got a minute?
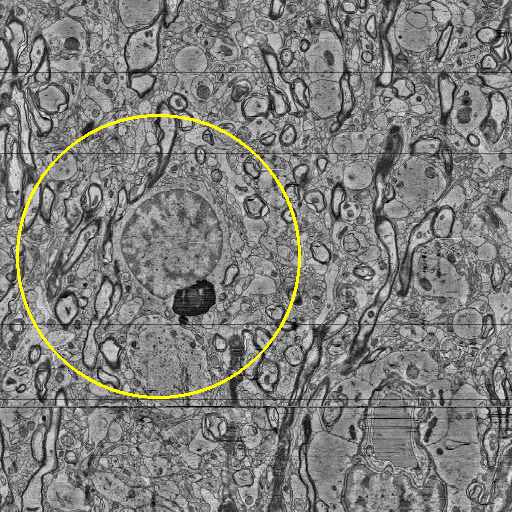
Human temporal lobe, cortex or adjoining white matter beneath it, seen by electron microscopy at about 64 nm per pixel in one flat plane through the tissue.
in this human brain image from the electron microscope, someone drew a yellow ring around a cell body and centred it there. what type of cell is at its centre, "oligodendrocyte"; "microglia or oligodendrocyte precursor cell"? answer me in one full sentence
It's an oligodendrocyte at the middle of that yellow ring in the shot.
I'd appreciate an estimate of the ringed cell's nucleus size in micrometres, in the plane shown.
The nucleus is about 7 micrometres across in this plane.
